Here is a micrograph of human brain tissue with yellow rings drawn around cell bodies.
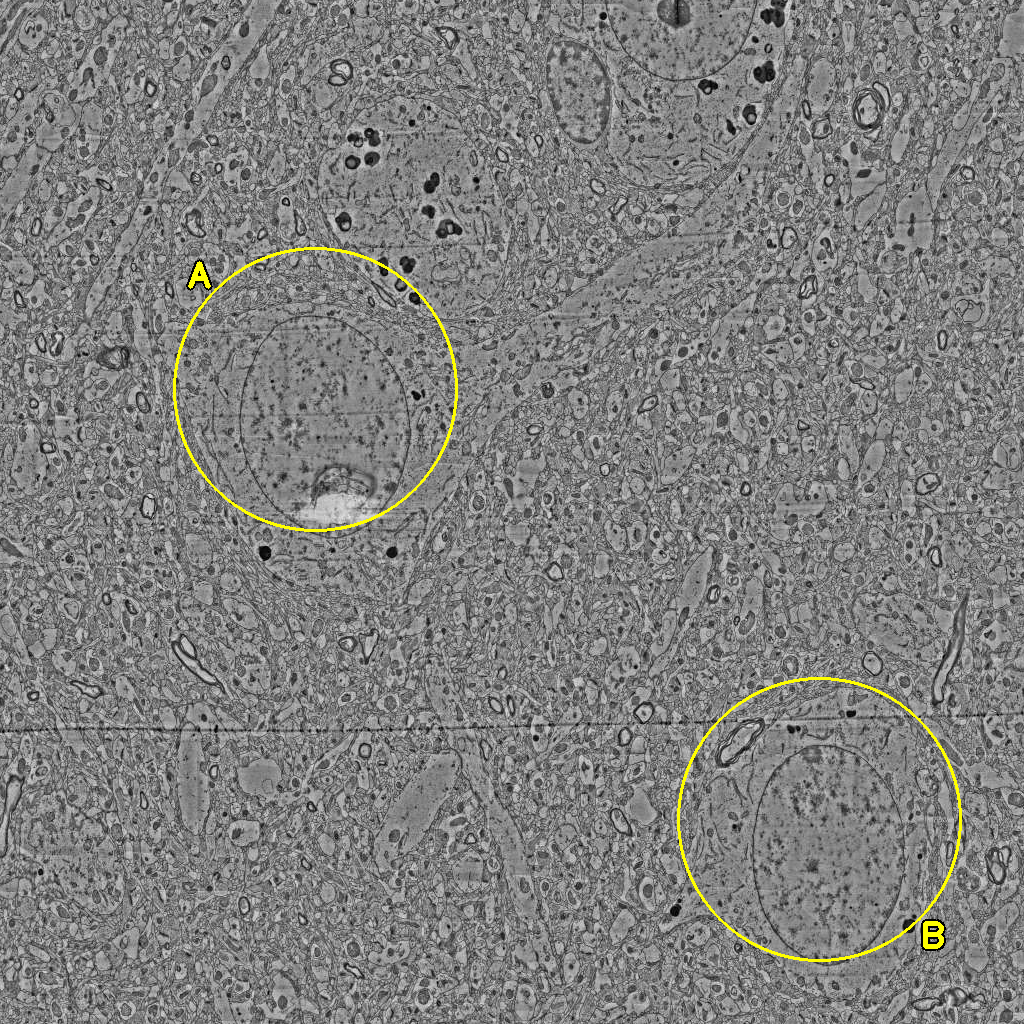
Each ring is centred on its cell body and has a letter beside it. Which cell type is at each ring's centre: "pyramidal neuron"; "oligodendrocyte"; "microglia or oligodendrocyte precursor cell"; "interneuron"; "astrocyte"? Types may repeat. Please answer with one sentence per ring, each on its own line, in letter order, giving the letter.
Ring A shows a pyramidal neuron at its centre.
Ring B shows a pyramidal neuron at its centre.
